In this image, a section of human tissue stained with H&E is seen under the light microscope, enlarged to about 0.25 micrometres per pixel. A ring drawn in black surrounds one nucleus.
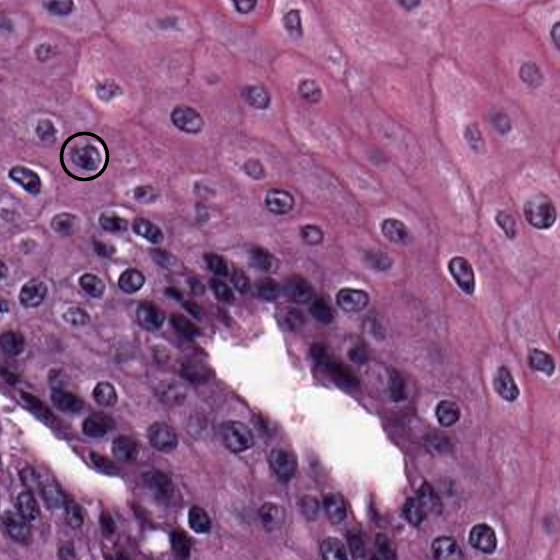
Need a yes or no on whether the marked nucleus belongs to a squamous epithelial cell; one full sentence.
Yes, to a squamous epithelial cell belongs the marked nucleus.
